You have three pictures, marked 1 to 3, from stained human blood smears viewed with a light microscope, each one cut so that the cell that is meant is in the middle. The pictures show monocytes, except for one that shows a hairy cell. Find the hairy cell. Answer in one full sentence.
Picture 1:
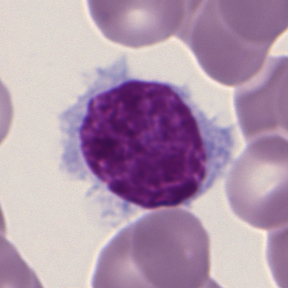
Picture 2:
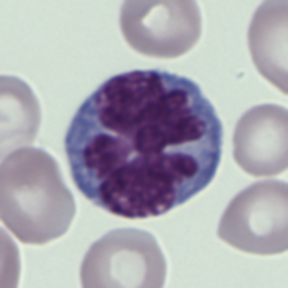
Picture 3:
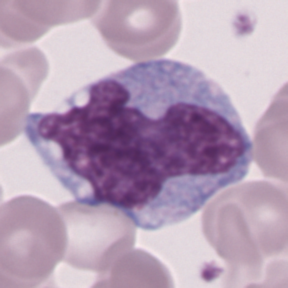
Picture 1 is the one that shows the hairy cell.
